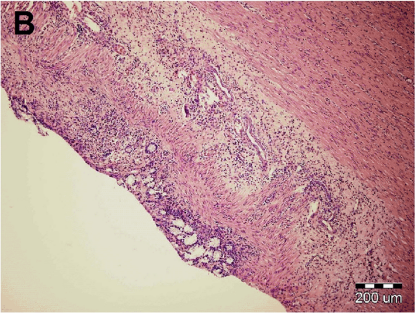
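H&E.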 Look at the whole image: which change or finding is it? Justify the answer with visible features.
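Only a few distorted crypt remnants remain at the lower left. Most of the mucosal surface lacks crypts.
Hence: severe crypt damage.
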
